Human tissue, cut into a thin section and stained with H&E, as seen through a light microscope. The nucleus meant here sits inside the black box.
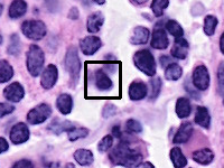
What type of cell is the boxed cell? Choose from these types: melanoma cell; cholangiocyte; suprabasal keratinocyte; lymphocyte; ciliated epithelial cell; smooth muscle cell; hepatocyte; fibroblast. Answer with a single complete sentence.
The boxed cell is a lymphocyte.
